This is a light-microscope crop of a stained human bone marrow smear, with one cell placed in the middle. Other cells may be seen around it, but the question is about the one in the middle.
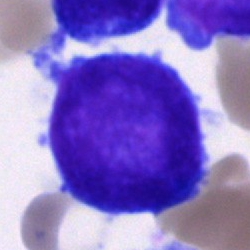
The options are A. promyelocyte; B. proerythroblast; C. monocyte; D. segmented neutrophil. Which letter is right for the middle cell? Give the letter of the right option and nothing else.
B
